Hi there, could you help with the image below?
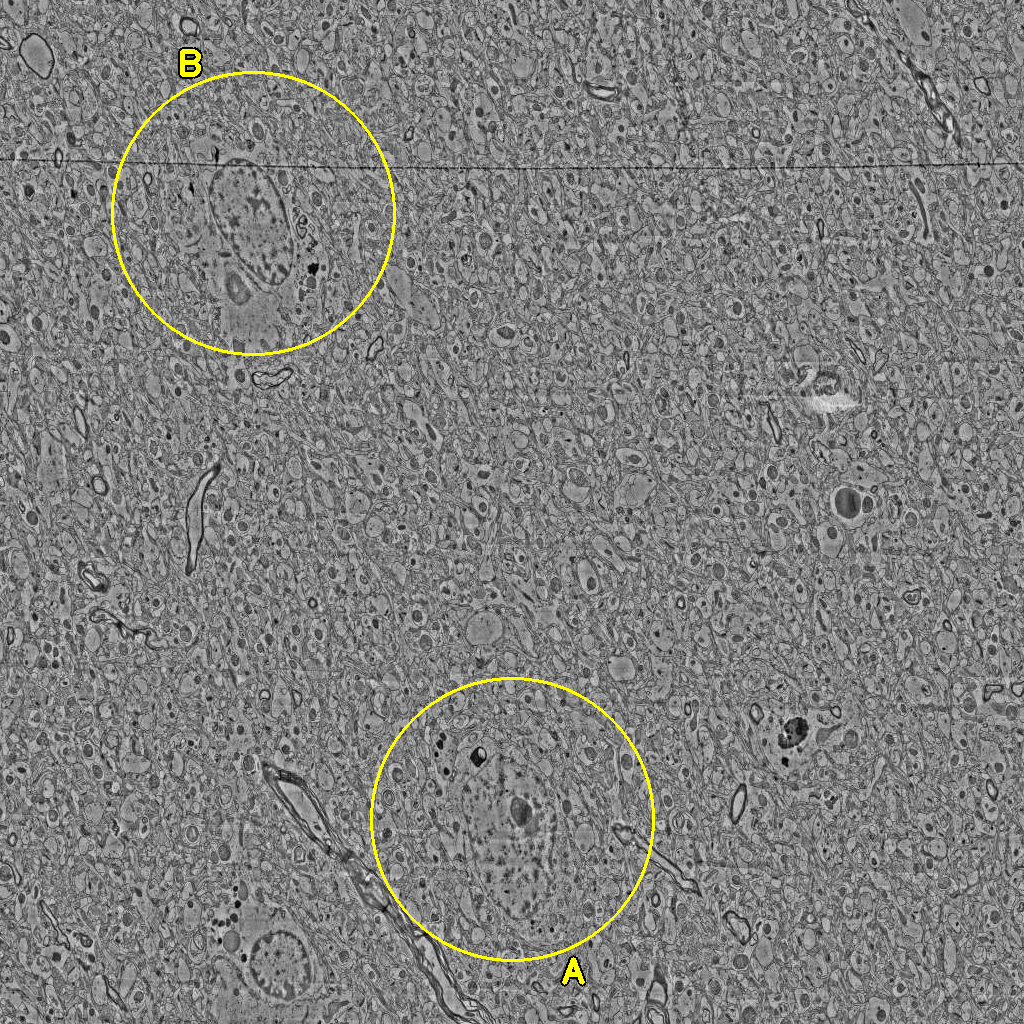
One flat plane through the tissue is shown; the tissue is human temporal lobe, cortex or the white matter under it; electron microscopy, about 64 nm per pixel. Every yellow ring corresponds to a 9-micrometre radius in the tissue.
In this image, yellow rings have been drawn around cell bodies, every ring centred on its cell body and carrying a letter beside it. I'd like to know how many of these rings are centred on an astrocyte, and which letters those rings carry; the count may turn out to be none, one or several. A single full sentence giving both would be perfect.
The letter beside the single ring centred on an astrocyte is B.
